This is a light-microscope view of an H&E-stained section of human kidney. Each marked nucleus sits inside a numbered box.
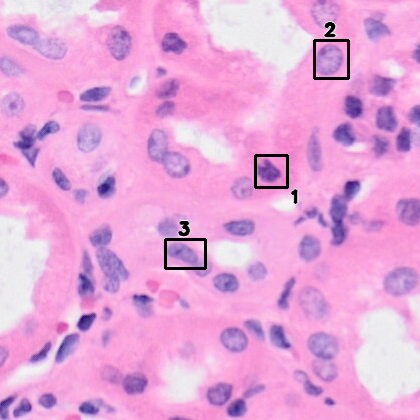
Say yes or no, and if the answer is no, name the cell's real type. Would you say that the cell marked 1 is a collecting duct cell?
No, it is a proximal tubule cell.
